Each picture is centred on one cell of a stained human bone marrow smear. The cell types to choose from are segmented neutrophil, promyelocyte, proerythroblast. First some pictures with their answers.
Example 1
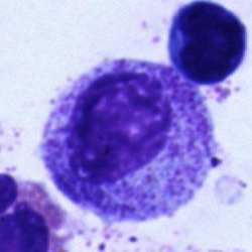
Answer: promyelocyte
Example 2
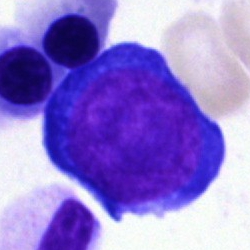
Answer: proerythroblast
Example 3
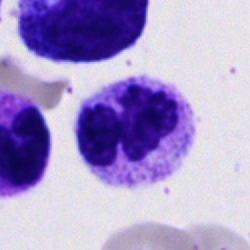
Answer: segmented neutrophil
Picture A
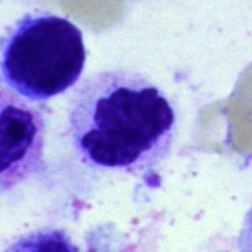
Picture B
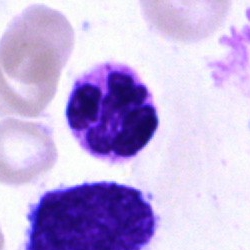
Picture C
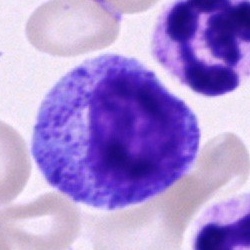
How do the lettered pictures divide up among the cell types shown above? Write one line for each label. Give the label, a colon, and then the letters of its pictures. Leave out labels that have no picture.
segmented neutrophil: A, B
promyelocyte: C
